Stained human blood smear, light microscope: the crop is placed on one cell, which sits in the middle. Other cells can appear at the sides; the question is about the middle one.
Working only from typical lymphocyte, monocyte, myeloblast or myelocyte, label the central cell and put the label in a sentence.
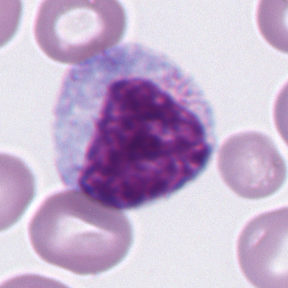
This crop is built around a myelocyte at its centre.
